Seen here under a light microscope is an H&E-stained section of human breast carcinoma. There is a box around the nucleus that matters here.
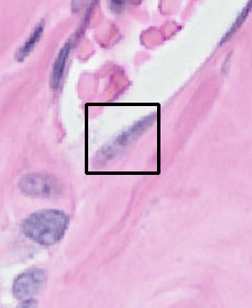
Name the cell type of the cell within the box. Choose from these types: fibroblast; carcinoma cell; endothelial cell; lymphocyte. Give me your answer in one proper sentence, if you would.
To be brief about it, the cell within the box is an endothelial cell.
